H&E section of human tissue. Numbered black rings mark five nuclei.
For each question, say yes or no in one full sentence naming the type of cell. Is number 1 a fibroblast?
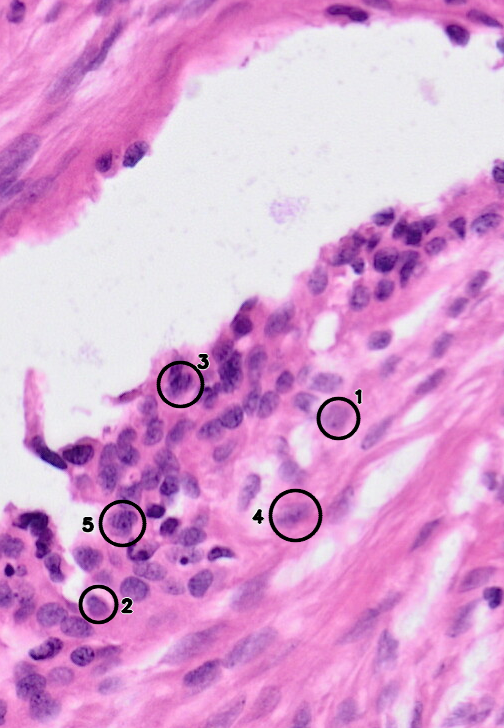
Yes, number 1 in this section denotes a fibroblast.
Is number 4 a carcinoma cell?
No, cell 4 is correctly identified as a fibroblast and not as a carcinoma cell.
